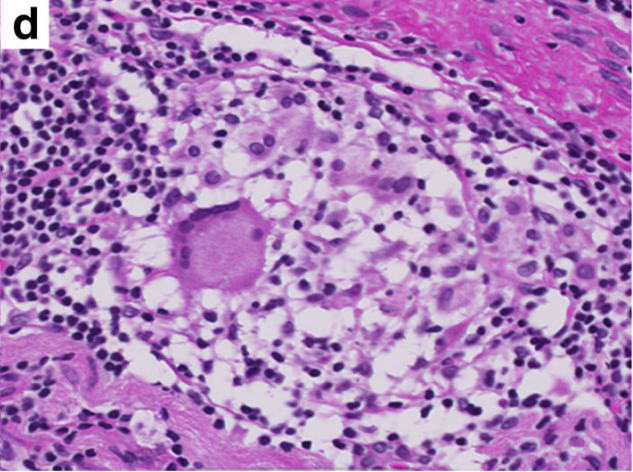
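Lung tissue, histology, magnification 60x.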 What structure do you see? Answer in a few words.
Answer: small granulomas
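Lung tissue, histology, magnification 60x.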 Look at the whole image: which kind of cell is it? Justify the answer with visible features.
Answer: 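Giant cells. It is several times larger than the surrounding cells. It sits among pale, vacuolated cells ringed by small dark round cells.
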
